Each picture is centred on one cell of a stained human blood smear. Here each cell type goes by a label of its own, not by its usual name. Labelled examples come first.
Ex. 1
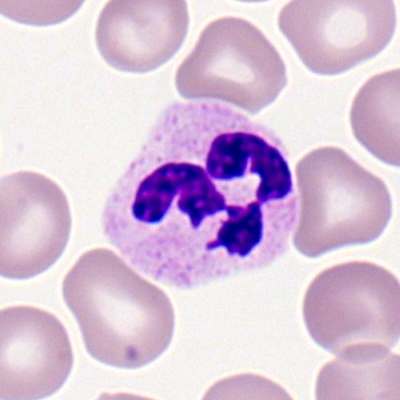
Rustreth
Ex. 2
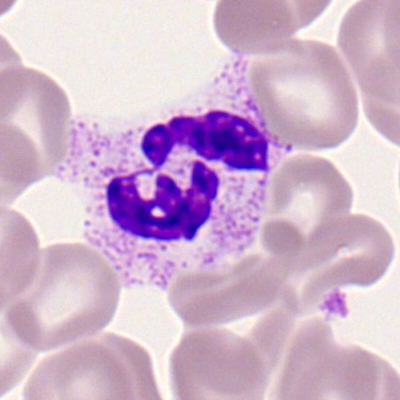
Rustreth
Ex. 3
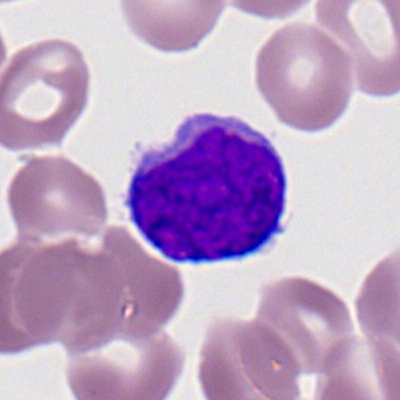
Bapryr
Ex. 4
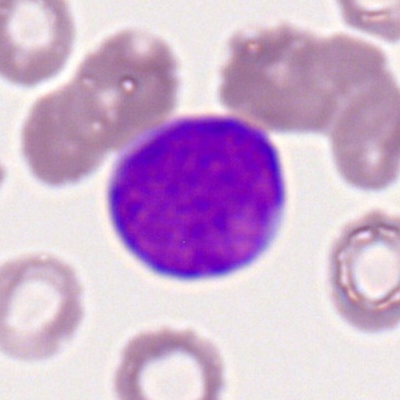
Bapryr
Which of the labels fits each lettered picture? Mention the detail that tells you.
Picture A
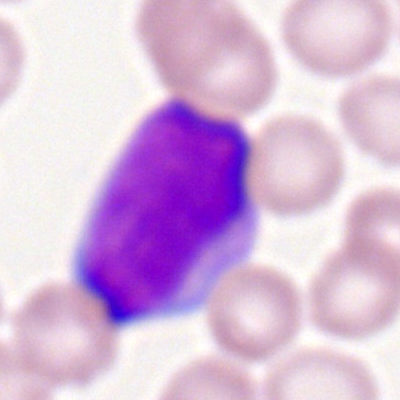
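Bapryr. Evidence: The cytoplasm forms a narrow rim that is widest along the lower right side.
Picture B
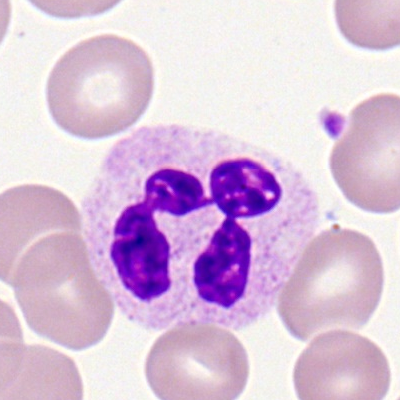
Rustreth. Evidence: The nucleus is divided into four separate lobes.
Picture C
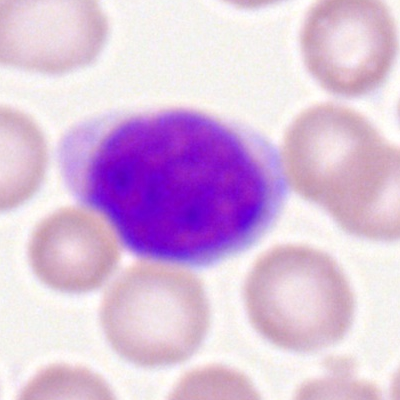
Bapryr. Evidence: The nucleus fills most of the cell.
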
